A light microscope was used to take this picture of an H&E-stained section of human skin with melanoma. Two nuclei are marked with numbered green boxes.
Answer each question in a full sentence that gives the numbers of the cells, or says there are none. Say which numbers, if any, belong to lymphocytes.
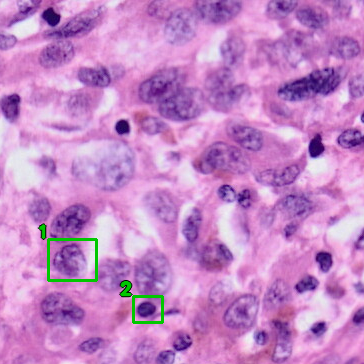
Within the set of numbered cells, only number 2 is a lymphocyte.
